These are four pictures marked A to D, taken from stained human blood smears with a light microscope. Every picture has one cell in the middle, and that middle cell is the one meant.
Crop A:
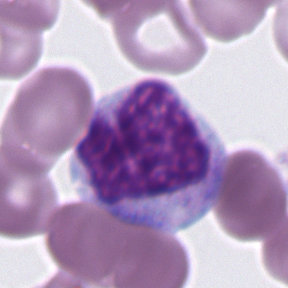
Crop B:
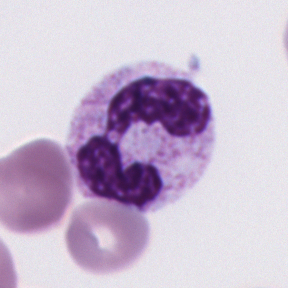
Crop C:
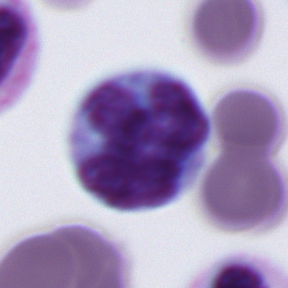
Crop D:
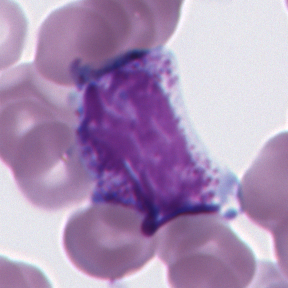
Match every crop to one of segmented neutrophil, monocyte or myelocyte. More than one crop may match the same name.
A: monocyte
B: segmented neutrophil
C: monocyte
D: myelocyte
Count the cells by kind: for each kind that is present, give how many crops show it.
monocyte: 2
segmented neutrophil: 1
myelocyte: 1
